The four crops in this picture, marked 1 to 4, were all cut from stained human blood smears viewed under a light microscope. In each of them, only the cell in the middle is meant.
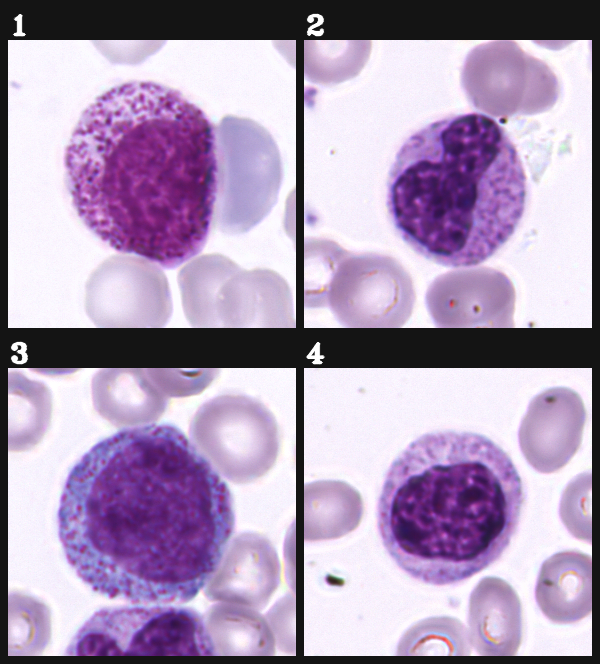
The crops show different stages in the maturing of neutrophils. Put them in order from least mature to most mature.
3, 1, 4, 2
